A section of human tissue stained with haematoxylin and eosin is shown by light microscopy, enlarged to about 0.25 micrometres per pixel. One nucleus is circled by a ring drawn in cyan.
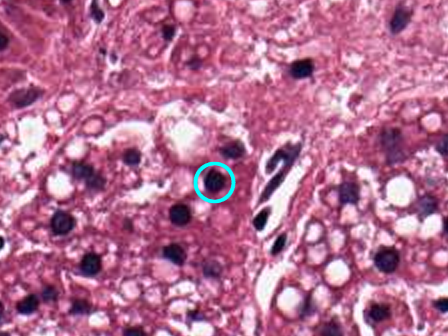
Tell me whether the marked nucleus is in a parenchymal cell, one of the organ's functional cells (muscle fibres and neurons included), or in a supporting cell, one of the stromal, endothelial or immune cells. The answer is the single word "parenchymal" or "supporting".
parenchymal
